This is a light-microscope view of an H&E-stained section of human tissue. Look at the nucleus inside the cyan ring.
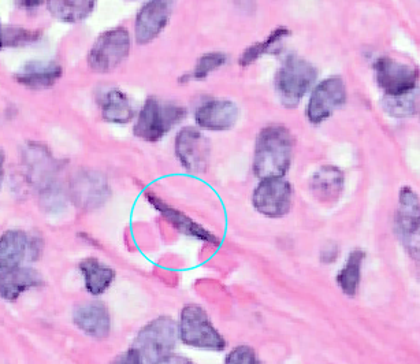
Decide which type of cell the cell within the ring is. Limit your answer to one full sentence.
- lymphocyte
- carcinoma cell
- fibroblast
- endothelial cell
As far as its identity is concerned, the cell within the ring is an endothelial cell.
